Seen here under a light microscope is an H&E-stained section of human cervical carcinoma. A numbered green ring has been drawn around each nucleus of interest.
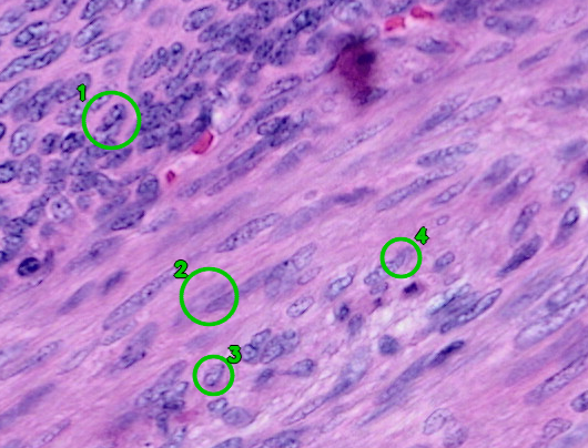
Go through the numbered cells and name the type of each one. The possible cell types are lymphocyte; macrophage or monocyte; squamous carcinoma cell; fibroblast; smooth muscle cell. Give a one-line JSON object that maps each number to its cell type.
{"1": "squamous carcinoma cell", "2": "smooth muscle cell", "3": "smooth muscle cell", "4": "smooth muscle cell"}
